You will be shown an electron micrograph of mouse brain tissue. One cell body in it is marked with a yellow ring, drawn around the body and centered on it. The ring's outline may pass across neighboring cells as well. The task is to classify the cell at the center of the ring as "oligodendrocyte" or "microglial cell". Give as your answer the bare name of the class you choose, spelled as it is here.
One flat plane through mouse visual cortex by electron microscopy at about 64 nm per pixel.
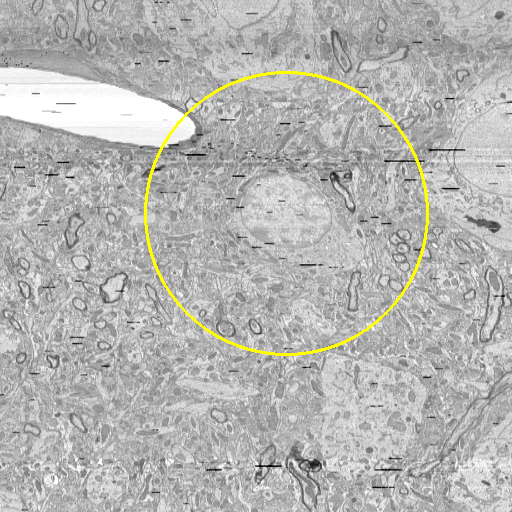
oligodendrocyte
